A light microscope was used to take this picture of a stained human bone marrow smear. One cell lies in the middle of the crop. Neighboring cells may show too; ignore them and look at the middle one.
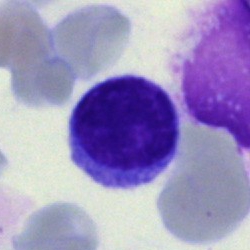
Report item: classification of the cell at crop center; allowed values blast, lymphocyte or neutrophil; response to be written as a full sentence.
Within this crop, a lymphocyte occupies the central position.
